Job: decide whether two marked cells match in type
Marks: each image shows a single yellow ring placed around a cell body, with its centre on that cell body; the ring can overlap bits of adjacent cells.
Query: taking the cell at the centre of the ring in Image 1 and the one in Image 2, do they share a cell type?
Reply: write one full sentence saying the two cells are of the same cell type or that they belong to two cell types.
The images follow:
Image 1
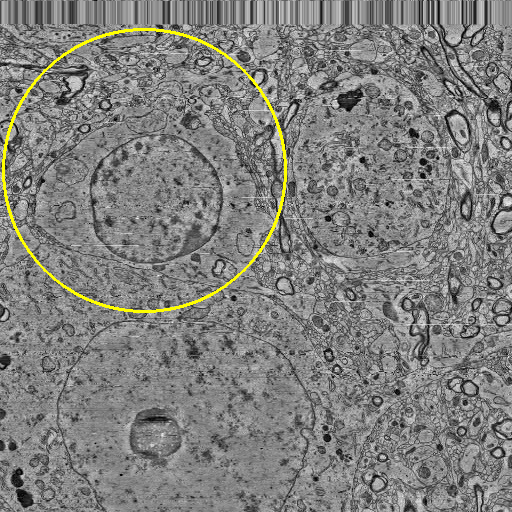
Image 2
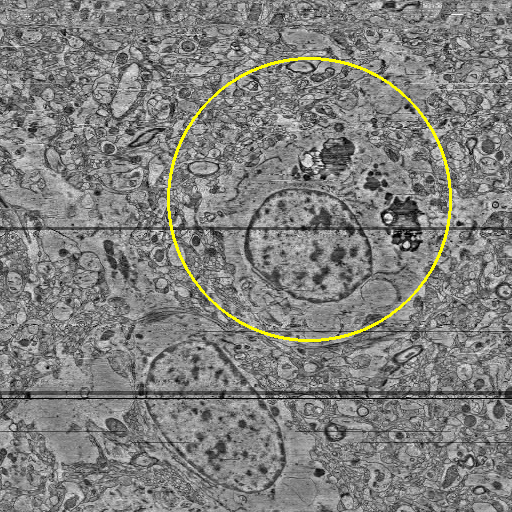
The cells at the ring centres in Image 1 and Image 2 are of the same cell type.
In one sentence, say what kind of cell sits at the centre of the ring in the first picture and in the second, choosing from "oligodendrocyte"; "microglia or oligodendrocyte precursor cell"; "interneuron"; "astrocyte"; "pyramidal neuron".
The first and the second cell are each an astrocyte.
